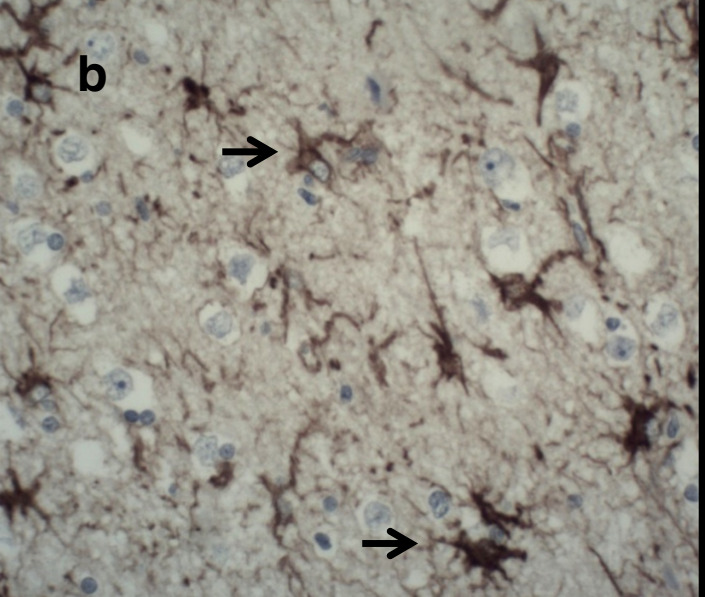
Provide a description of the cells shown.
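This is brain tissue with numerous reactive astrocytes picked out in brown. Each of these cells has a compact, darkly stained body from which many thick, branching processes radiate, giving a star-like shape. The stained cells are spread fairly evenly across the field, and their fine processes form a brown fibrillary meshwork in the background. Between them lie larger pale cells with round blue nuclei, which stay unstained, along with smaller blue nuclei.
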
